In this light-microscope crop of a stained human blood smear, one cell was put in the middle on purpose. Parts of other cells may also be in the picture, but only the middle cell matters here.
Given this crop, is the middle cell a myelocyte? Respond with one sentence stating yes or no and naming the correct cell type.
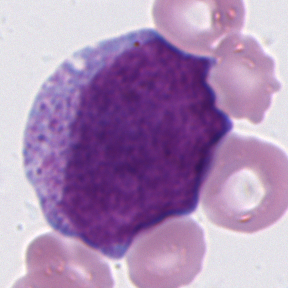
No, the cell at the centre of the crop is a promyelocyte and not a myelocyte.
